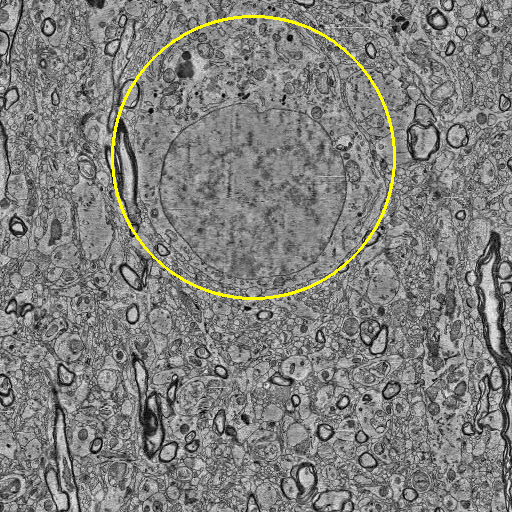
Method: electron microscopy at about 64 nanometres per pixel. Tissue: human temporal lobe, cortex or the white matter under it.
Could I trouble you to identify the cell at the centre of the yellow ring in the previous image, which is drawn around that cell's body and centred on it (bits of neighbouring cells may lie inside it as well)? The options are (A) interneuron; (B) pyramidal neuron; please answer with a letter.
A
